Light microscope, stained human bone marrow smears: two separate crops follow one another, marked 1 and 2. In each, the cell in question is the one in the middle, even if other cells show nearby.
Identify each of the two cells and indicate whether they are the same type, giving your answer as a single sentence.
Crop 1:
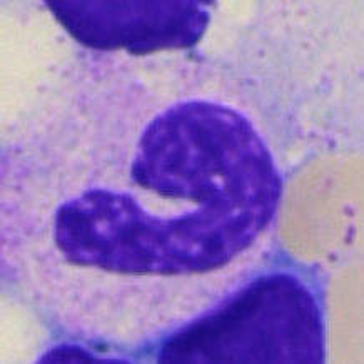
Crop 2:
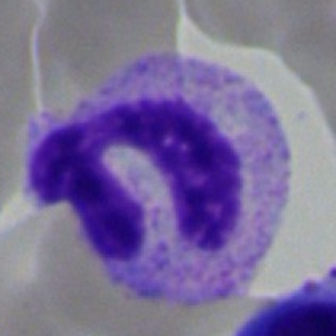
Yes, both crops show segmented neutrophils at their middles.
